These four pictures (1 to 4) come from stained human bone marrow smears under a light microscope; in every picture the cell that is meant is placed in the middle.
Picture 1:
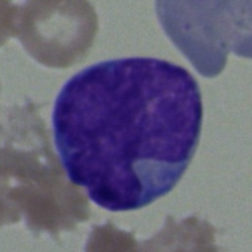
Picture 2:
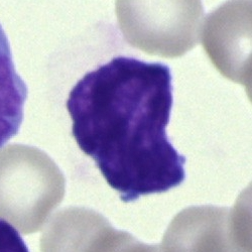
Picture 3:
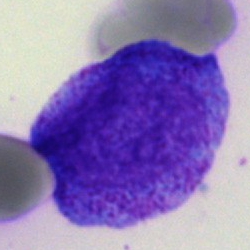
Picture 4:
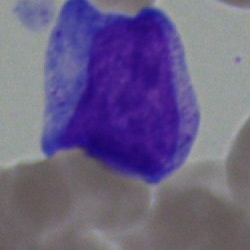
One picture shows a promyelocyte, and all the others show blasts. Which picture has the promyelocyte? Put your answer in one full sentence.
Picture 3 shows the promyelocyte.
